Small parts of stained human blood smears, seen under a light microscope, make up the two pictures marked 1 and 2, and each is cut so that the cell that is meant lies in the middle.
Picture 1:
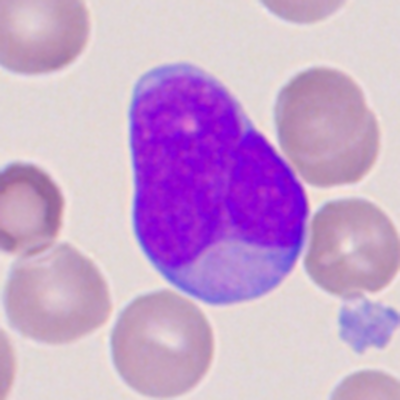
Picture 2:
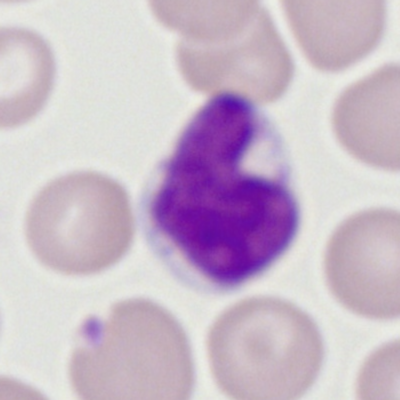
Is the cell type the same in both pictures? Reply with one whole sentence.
No, they differ: the cell is a myeloblast in picture 1 and a lymphocyte in picture 2.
